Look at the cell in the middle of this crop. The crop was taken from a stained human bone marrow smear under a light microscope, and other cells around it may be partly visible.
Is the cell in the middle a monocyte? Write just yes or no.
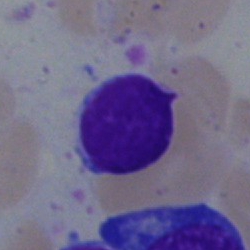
no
